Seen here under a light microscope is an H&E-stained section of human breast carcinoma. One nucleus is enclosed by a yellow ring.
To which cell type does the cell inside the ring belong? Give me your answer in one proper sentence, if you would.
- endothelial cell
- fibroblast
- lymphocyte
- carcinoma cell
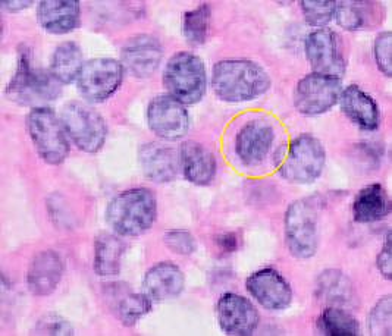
Speaking plainly, the cell inside the ring is nothing other than a carcinoma cell.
